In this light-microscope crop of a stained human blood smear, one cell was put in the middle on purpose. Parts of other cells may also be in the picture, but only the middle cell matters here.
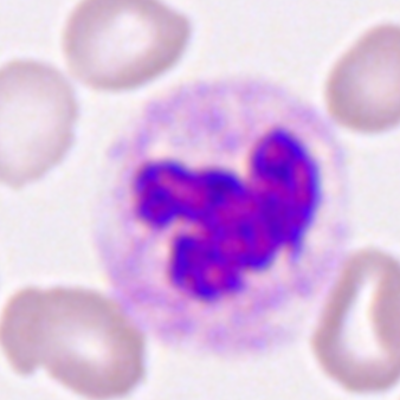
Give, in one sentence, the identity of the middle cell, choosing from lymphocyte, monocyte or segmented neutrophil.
Of the cells in this crop, the central one is a segmented neutrophil.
